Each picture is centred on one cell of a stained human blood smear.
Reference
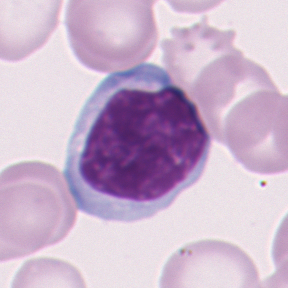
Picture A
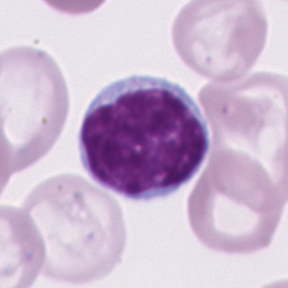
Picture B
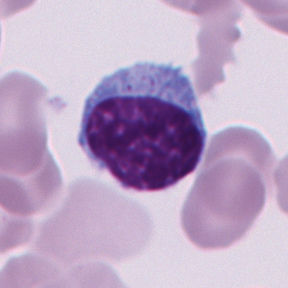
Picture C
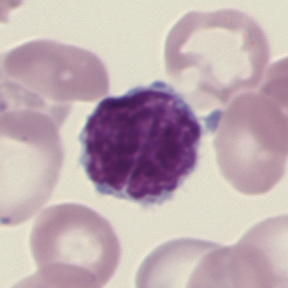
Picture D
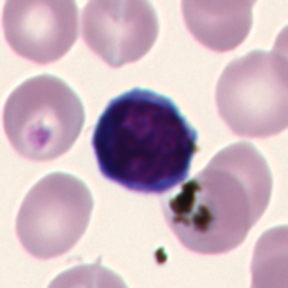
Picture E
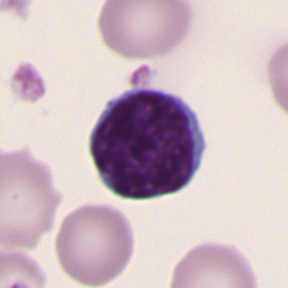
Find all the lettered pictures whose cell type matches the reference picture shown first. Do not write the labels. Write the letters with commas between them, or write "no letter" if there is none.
A, B, C, D, E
